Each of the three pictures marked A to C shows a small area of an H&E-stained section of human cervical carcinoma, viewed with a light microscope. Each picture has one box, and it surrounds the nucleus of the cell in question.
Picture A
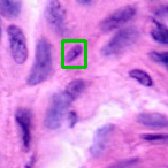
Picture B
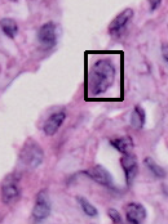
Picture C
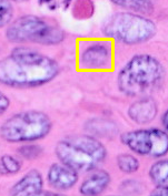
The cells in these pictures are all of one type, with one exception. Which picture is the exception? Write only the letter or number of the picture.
B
